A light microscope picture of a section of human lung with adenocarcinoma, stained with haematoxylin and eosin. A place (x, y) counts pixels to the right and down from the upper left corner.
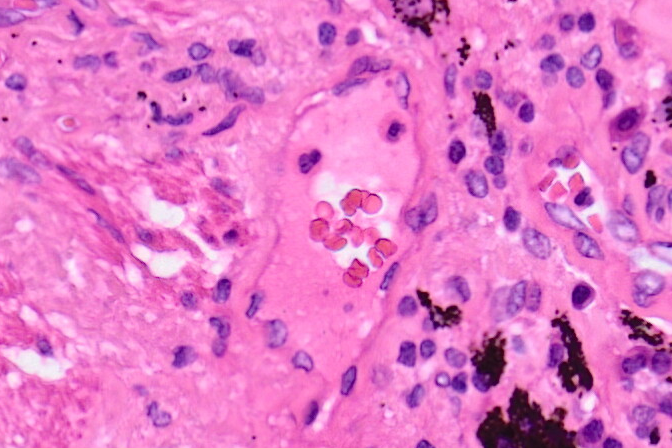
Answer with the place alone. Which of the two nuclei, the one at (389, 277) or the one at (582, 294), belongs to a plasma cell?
(582, 294)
